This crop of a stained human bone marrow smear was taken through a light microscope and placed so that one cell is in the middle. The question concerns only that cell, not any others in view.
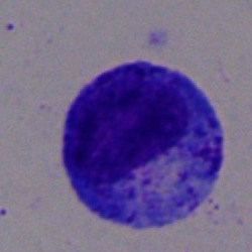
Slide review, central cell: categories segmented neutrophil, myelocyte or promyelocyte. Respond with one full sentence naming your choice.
The cell at the heart of this crop is a myelocyte.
